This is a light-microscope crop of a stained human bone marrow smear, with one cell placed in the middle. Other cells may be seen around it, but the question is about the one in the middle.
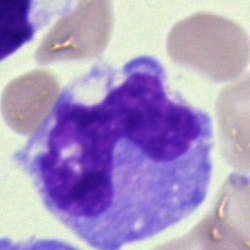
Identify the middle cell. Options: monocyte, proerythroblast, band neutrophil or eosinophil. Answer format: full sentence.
The cell marked by its central position in the crop is a monocyte.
